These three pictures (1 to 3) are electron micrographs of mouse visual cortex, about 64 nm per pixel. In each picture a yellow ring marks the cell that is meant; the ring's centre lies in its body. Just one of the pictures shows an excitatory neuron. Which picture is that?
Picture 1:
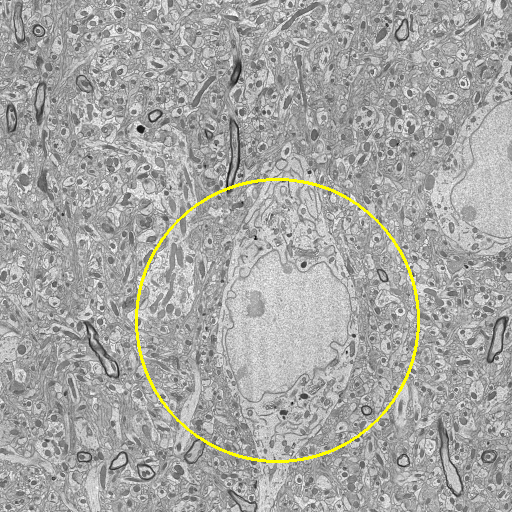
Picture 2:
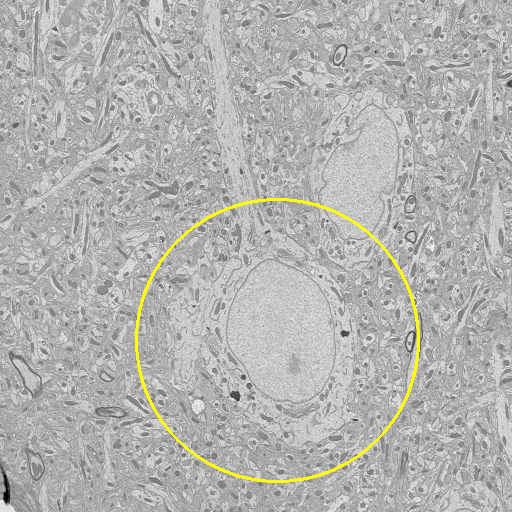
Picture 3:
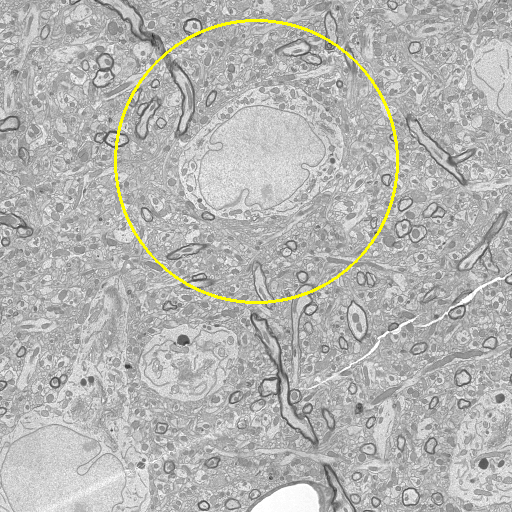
The cell in picture 2 is the excitatory neuron.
